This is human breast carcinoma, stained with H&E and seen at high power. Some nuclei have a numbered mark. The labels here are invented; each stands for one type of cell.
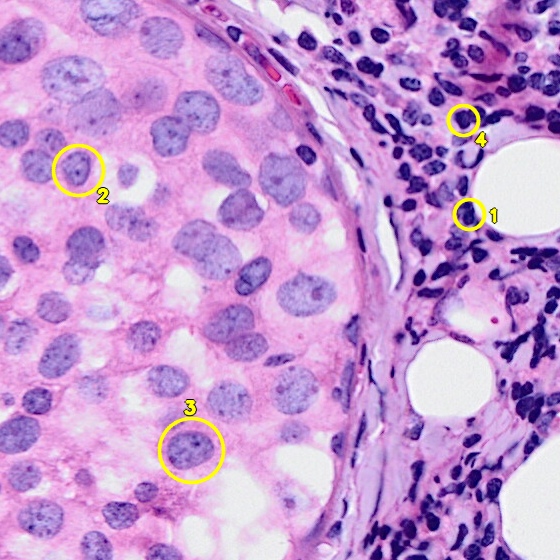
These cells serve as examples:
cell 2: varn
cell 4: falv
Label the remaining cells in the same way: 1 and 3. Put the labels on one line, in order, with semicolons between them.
falv; varn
